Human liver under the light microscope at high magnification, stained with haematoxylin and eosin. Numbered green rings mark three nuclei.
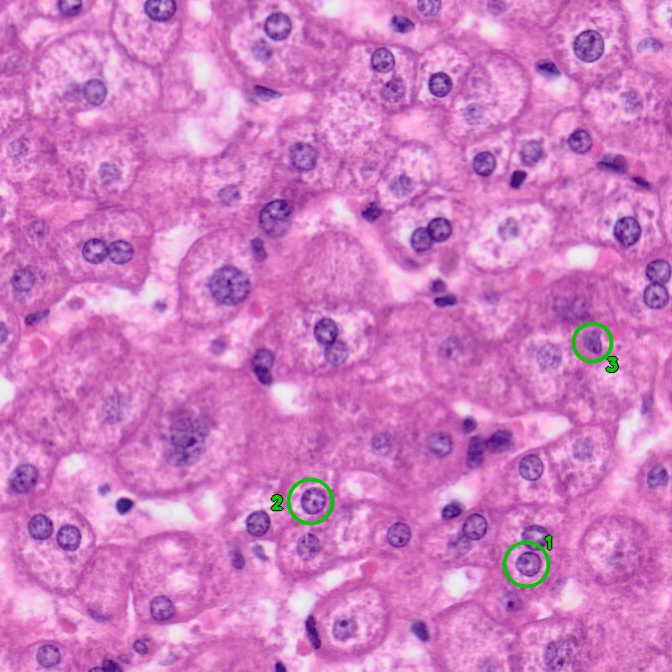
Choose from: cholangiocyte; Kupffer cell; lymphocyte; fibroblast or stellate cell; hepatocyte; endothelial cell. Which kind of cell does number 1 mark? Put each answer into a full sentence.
At number 1, the marked cell is a hepatocyte.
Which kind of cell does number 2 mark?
At number 2, the marked cell is a hepatocyte.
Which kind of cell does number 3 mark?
The nucleus labeled 3 belongs to an endothelial cell.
